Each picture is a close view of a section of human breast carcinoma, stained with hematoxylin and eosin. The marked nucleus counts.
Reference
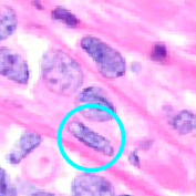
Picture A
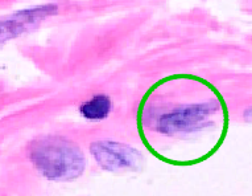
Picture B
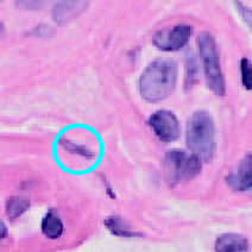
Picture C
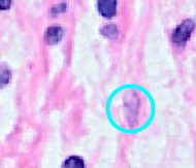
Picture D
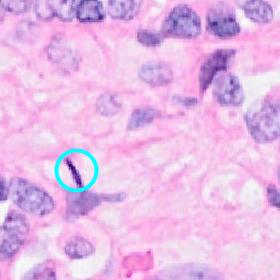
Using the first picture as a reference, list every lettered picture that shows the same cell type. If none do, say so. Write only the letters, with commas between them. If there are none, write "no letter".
A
